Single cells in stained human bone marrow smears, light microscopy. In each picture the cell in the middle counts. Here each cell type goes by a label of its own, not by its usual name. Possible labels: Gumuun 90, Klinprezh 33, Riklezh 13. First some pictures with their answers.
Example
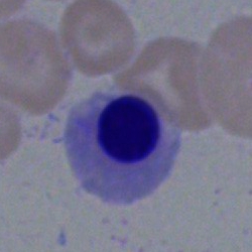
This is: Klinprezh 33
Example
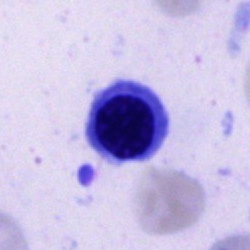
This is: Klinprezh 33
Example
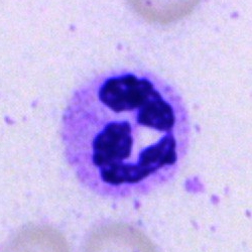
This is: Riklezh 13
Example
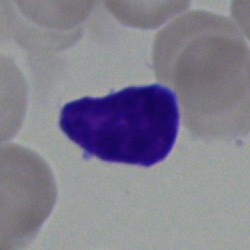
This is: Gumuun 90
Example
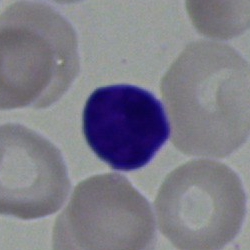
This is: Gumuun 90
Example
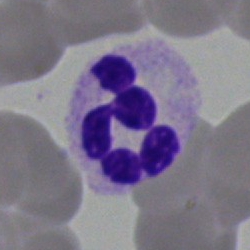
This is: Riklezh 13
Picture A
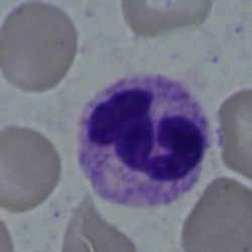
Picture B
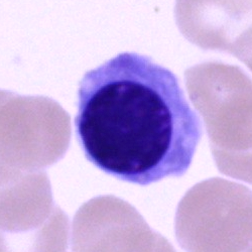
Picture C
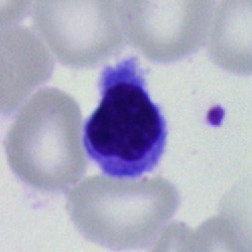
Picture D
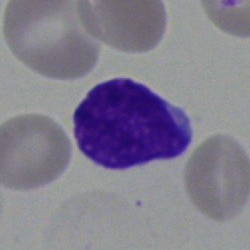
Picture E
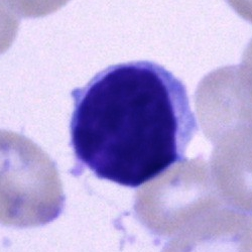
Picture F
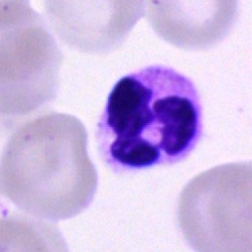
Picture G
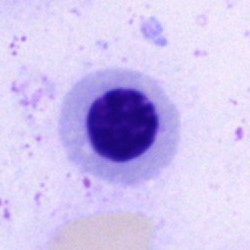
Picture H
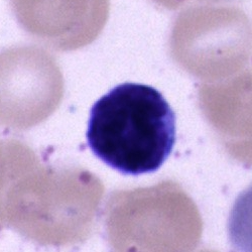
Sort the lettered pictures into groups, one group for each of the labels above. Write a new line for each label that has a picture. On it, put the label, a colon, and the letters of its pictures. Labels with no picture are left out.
Gumuun 90: D, E, H
Klinprezh 33: B, C, G
Riklezh 13: A, F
